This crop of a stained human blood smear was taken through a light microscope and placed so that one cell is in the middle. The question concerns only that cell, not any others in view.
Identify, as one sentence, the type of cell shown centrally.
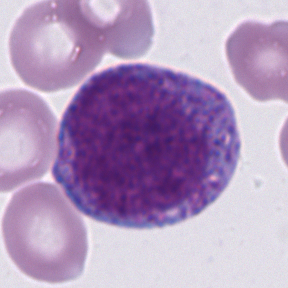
The single cell at the center of the crop is a promyelocyte.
